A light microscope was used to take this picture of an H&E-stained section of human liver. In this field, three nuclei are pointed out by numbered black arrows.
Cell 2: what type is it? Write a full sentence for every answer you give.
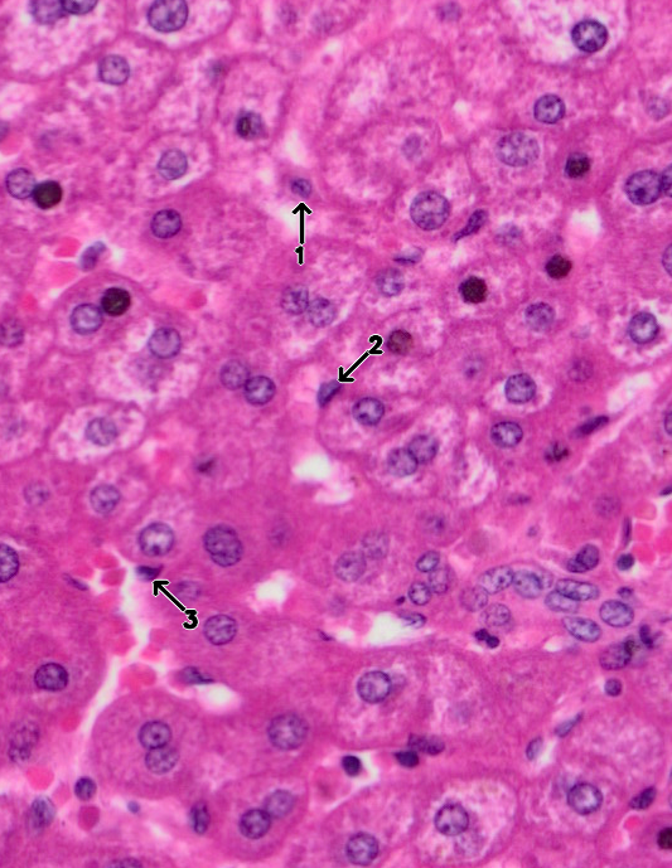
Cell 2 of the marked set is an endothelial cell.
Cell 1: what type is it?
Among the marked nuclei, number 1 belongs to a Kupffer cell.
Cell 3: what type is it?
Cell 3 in the field of view is a fibroblast or stellate cell.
